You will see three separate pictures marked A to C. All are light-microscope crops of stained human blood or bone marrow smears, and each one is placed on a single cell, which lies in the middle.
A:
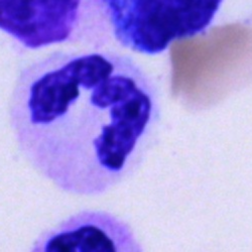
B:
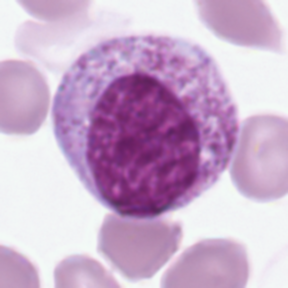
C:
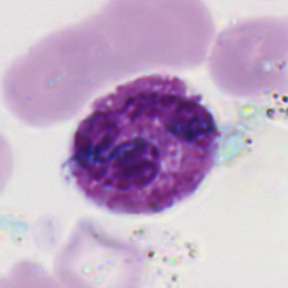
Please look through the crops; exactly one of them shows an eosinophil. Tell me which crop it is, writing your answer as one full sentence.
As for which crop shows an eosinophil, it is crop C.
